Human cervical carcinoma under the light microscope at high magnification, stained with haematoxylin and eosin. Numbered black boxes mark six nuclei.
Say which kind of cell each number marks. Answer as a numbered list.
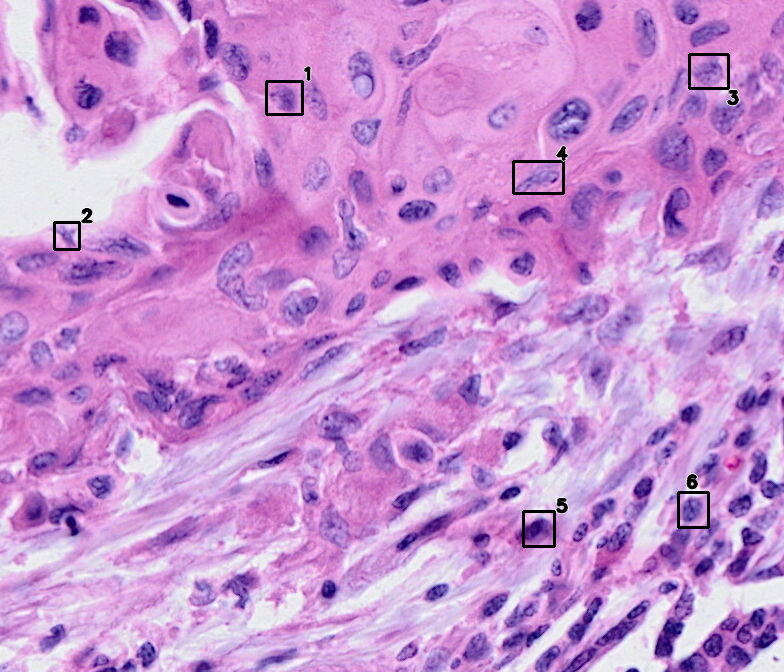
1. squamous carcinoma cell
2. squamous carcinoma cell
3. squamous carcinoma cell
4. squamous carcinoma cell
5. lymphocyte
6. lymphocyte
